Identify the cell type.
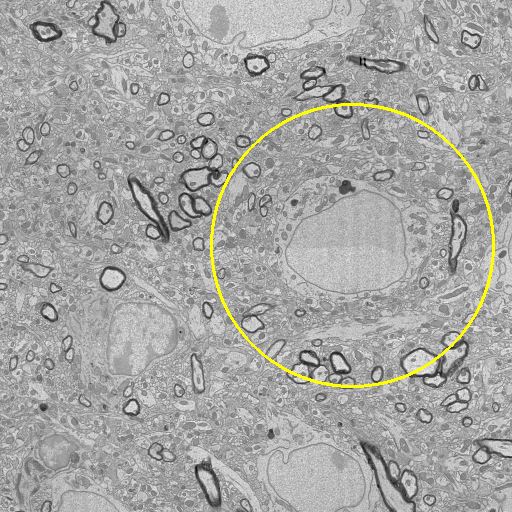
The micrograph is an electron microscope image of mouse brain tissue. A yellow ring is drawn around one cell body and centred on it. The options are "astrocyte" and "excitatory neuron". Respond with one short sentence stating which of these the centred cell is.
The cell body in the ring belongs to an excitatory neuron.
